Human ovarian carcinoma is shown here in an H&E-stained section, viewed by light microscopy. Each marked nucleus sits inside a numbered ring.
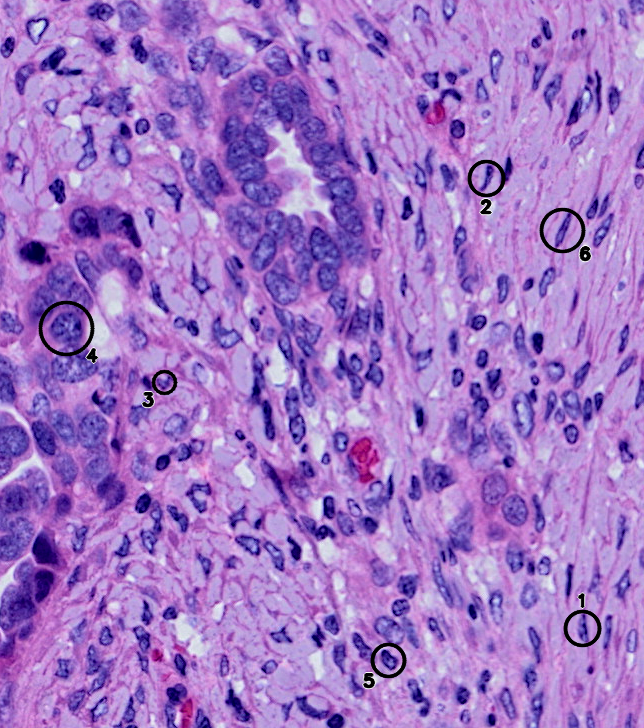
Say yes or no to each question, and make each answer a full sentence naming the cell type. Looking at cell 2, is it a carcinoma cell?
No, cell 2 is a fibroblast, not a carcinoma cell.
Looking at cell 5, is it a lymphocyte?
Yes, the cell to which number 5 refers is a lymphocyte.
